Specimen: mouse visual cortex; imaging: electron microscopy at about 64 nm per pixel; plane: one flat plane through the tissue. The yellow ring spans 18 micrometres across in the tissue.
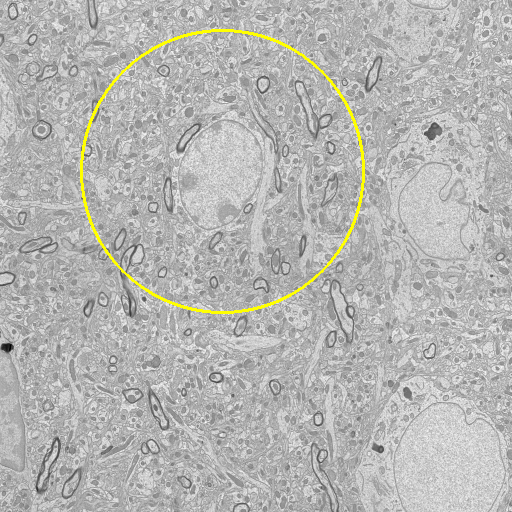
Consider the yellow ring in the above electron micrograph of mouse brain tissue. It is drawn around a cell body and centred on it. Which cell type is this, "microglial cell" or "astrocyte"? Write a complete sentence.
The cell in question is an astrocyte.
